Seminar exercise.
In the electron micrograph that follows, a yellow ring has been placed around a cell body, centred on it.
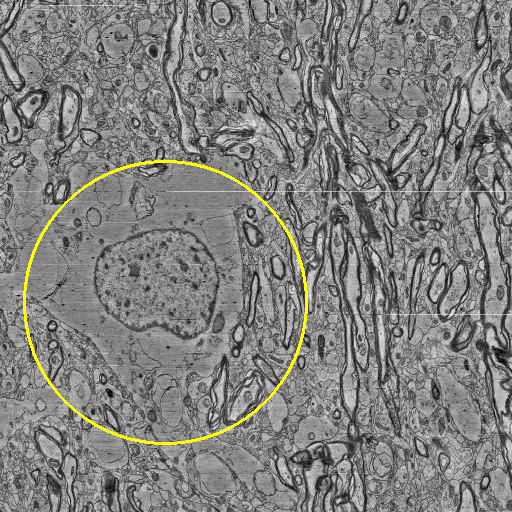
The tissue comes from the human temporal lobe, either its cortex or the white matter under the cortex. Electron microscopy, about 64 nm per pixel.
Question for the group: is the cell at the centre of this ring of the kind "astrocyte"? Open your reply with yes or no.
Yes, the cell in the ring's centre is of that kind.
